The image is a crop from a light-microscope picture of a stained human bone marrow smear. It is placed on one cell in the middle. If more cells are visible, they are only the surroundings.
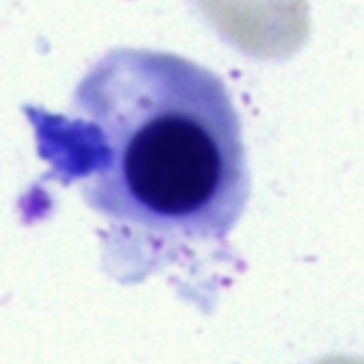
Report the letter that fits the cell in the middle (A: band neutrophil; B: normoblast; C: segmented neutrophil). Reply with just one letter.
B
